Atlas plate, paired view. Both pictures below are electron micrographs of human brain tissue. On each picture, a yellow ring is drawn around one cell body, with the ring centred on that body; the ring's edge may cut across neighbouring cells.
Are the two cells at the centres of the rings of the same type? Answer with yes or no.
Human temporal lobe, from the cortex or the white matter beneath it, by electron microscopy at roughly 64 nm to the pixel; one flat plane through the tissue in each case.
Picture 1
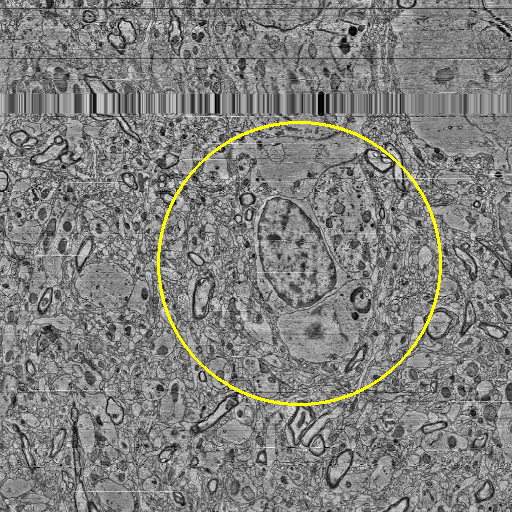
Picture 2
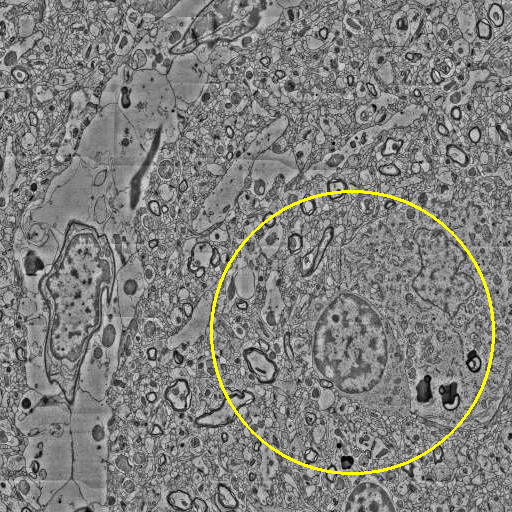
no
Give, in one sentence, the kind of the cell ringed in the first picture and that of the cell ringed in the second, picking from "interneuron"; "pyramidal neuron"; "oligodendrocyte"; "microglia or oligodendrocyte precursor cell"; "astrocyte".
For the first picture it is a microglial cell or oligodendrocyte precursor cell; for the second, an oligodendrocyte.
